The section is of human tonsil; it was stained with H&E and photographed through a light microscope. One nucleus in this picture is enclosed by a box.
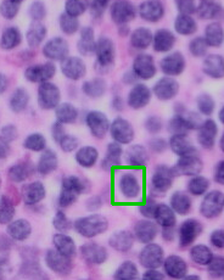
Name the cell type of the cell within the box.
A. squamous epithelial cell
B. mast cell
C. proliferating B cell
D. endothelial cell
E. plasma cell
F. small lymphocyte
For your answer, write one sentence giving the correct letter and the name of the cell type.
The correct option is F, as the cell within the box is a small lymphocyte.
